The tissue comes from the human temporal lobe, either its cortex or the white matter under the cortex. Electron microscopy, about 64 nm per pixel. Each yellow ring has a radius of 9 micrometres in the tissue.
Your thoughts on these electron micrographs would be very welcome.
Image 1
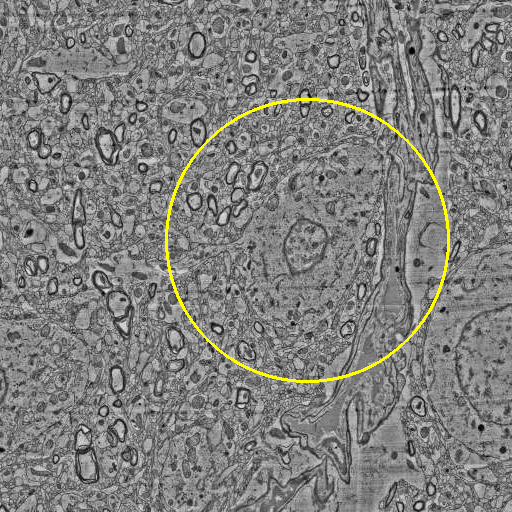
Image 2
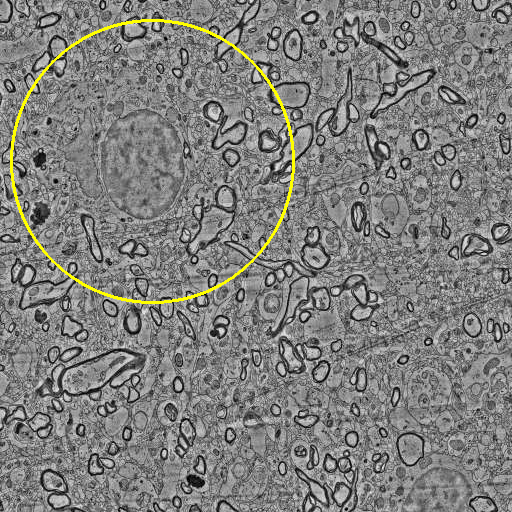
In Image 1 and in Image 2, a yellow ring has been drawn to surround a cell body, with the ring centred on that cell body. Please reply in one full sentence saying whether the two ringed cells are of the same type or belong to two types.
The ringed cells in Image 1 and Image 2 belong to two types.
